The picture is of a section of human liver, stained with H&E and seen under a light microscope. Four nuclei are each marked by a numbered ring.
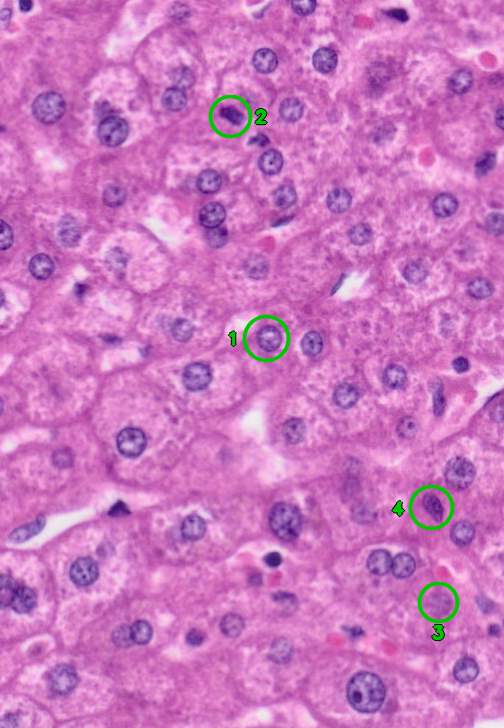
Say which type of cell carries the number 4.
fibroblast or stellate cell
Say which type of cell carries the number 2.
fibroblast or stellate cell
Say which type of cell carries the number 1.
hepatocyte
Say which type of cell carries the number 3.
hepatocyte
